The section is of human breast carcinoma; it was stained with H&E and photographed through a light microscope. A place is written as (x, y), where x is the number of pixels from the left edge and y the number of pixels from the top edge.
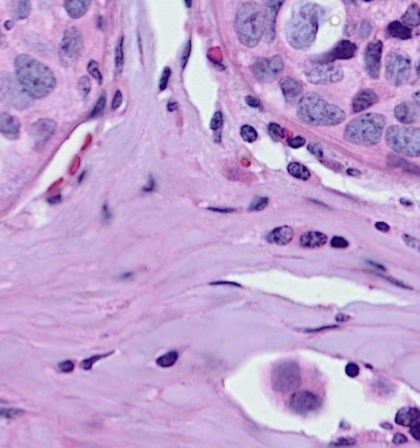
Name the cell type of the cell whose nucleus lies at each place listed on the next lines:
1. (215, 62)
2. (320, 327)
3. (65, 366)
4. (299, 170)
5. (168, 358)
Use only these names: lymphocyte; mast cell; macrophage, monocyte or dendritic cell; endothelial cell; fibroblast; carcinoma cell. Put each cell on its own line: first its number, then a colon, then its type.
1: endothelial cell
2: fibroblast
3: mast cell
4: mast cell
5: lymphocyte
